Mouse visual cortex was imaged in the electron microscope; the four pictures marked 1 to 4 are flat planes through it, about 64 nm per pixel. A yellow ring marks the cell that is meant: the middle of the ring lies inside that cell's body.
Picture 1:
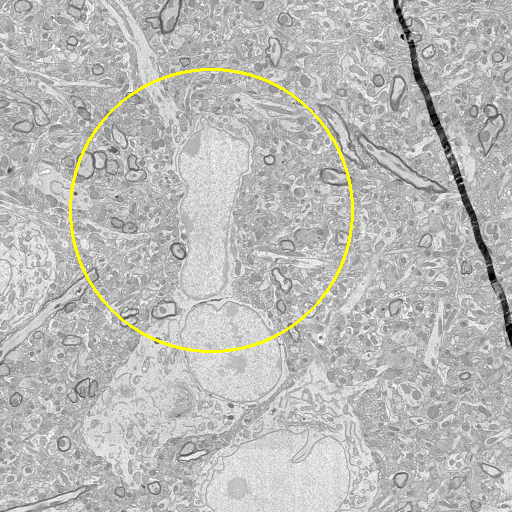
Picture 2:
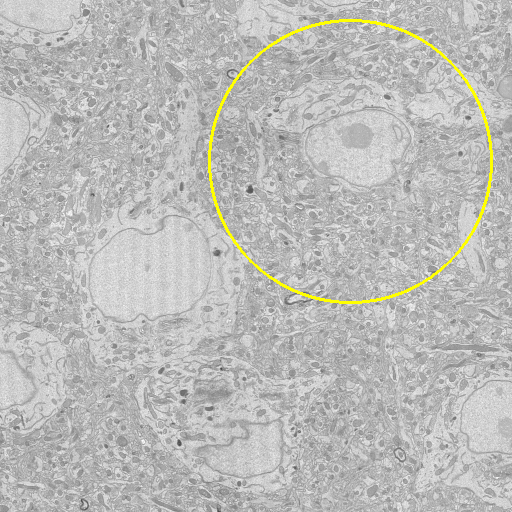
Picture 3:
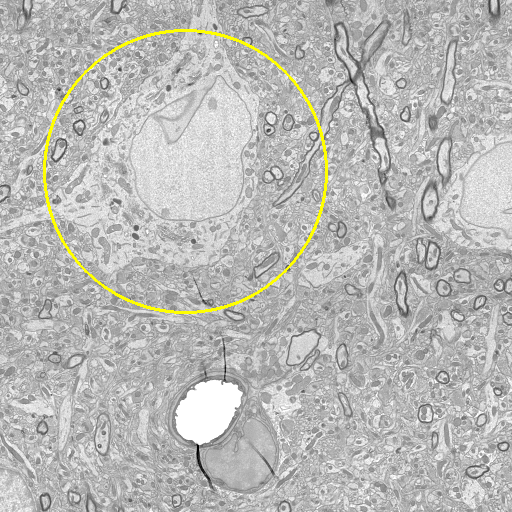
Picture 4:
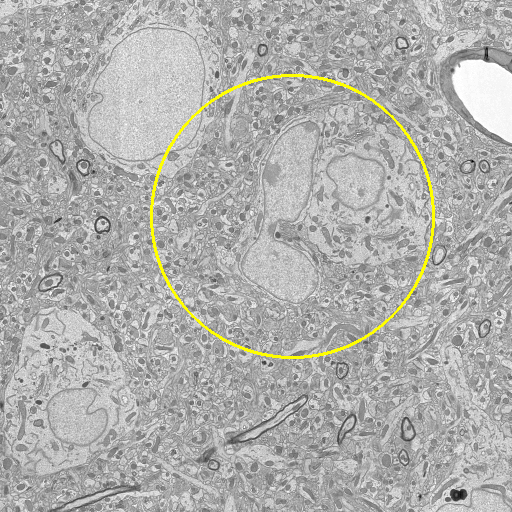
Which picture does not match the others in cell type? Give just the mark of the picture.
3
